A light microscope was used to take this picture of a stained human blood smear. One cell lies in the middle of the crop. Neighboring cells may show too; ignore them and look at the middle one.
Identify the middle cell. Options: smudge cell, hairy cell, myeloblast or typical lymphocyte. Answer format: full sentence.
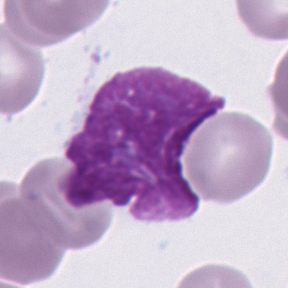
The cell centered in this field of view is a smudge cell.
